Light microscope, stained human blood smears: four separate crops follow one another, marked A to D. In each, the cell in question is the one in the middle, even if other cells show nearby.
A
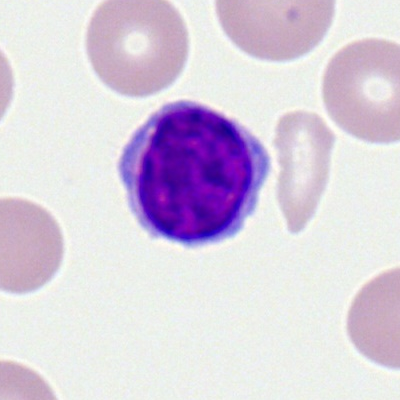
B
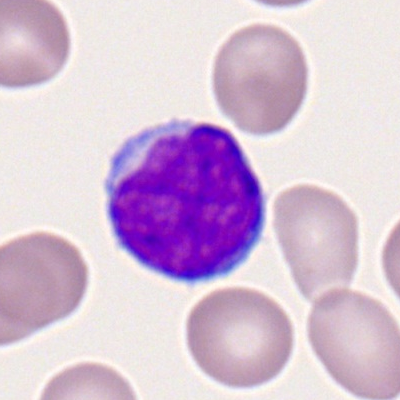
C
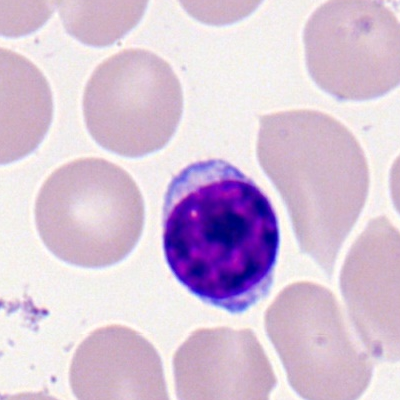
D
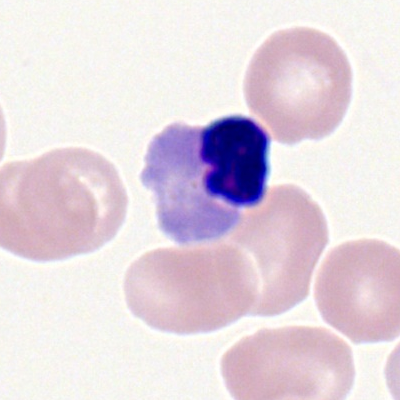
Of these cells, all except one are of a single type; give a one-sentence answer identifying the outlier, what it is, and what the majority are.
All the crops show lymphocytes, barring crop D, which is an erythroblast.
